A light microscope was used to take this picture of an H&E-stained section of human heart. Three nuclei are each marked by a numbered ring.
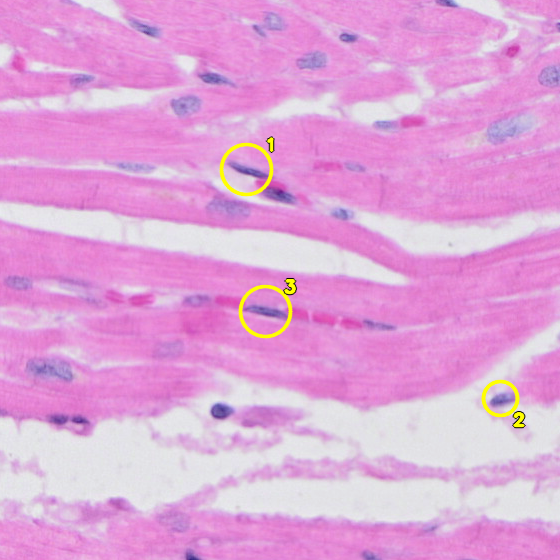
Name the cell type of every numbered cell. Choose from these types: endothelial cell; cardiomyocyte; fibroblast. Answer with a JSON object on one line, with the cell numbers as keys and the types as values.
{"1": "endothelial cell", "2": "fibroblast", "3": "endothelial cell"}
